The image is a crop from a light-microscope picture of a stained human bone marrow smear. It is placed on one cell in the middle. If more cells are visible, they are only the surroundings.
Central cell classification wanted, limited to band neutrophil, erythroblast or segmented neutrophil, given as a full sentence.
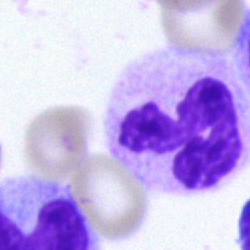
At the center of the crop sits a segmented neutrophil.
